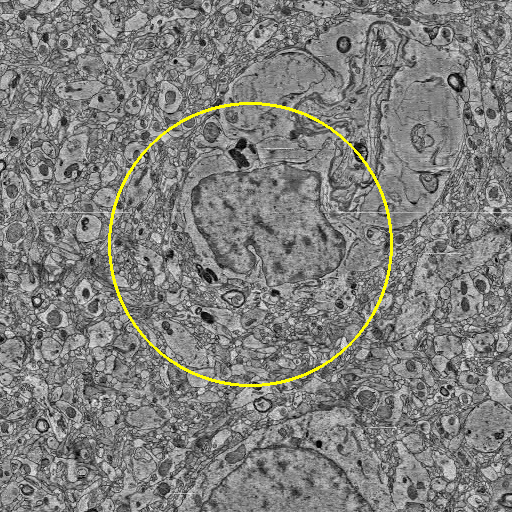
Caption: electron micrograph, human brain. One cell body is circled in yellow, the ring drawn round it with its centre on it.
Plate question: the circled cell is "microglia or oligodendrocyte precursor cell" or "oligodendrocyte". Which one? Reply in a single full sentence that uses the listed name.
The yellow ring on the plate is centred on a microglial cell or oligodendrocyte precursor cell, going by the listed names.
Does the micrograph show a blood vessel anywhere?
Yes, there is a blood vessel.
